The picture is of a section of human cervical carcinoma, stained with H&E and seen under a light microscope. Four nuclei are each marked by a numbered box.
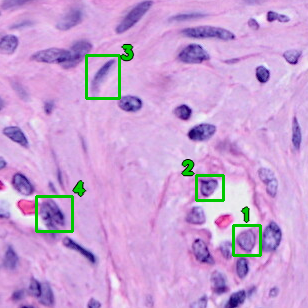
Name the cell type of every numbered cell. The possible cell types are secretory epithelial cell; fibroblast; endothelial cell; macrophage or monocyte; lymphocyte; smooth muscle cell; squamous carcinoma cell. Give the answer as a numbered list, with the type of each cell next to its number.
1. endothelial cell
2. endothelial cell
3. fibroblast
4. endothelial cell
